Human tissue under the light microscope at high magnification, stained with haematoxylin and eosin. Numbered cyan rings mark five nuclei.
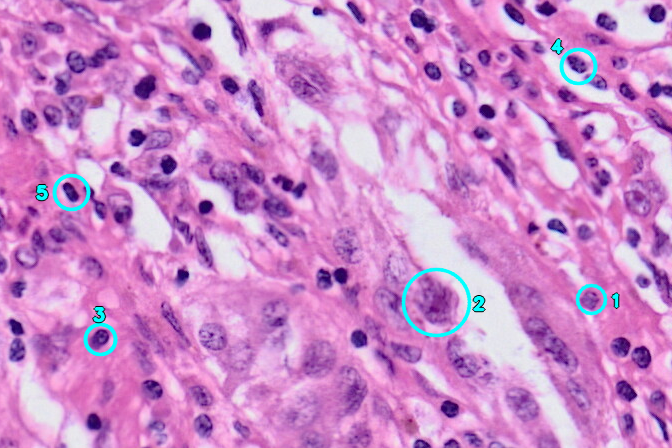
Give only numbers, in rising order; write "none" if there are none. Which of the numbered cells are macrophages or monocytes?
1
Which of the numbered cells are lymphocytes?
3, 4, 5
